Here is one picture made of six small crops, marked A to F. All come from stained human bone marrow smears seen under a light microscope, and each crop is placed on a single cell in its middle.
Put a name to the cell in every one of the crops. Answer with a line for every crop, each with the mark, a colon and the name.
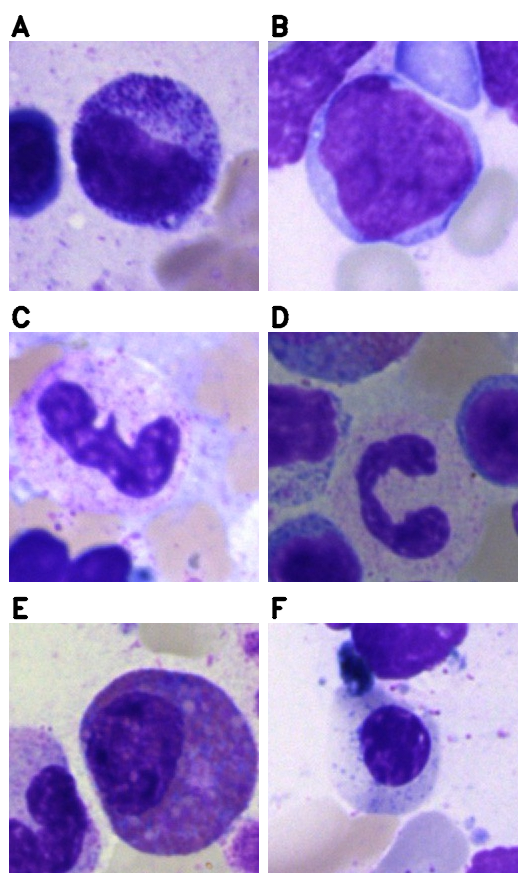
A: promyelocyte
B: blast
C: neutrophil
D: neutrophil
E: eosinophil
F: normoblast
